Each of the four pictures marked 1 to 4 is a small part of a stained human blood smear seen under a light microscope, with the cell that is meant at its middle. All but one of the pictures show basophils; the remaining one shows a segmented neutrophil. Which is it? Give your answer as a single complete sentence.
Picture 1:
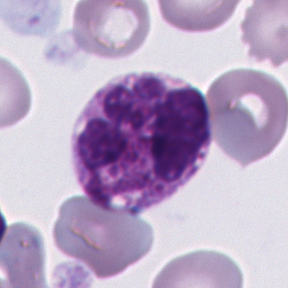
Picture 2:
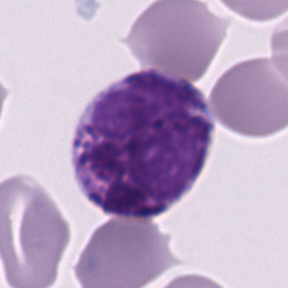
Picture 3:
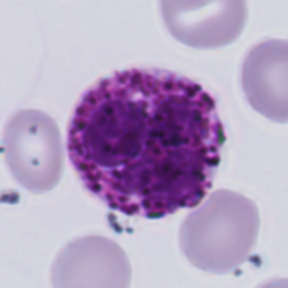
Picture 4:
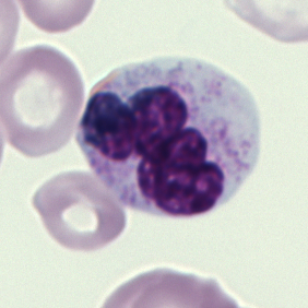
It is picture 4 that shows the segmented neutrophil.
